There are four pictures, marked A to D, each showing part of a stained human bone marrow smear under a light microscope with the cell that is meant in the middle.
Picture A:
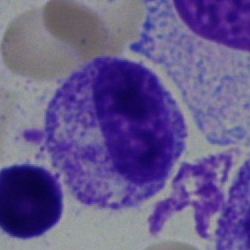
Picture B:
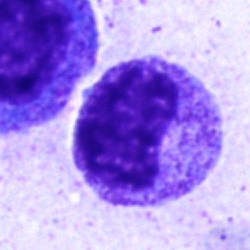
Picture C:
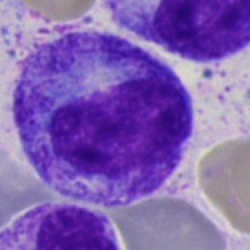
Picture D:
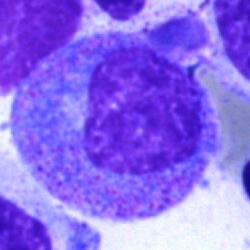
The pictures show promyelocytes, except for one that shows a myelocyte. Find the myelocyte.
A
